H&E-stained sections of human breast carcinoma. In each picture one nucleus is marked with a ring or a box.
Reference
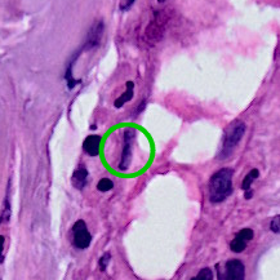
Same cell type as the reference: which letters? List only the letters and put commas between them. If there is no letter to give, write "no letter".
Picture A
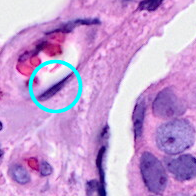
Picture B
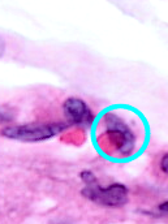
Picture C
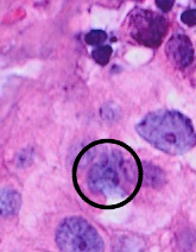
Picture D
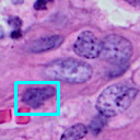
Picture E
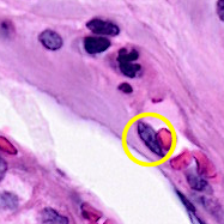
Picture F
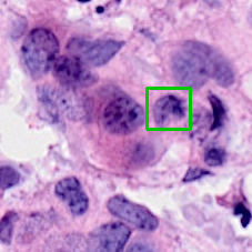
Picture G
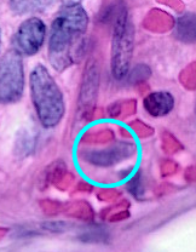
A, B, D, E, G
